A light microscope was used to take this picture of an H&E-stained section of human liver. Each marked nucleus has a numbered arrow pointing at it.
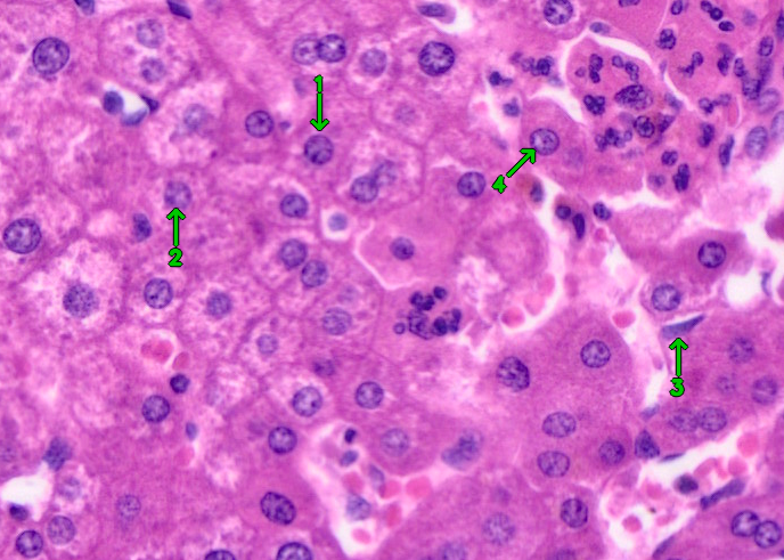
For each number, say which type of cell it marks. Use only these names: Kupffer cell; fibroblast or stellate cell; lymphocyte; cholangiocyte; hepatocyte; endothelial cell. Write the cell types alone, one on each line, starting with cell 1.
hepatocyte
hepatocyte
fibroblast or stellate cell
hepatocyte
